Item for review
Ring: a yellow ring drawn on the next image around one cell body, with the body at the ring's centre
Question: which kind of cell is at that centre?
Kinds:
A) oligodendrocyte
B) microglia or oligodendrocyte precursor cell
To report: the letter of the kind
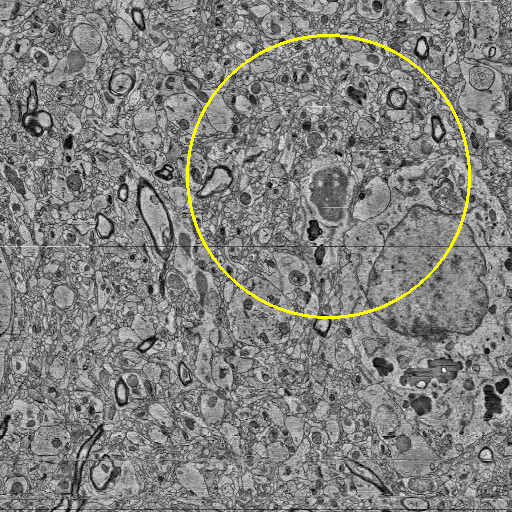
B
